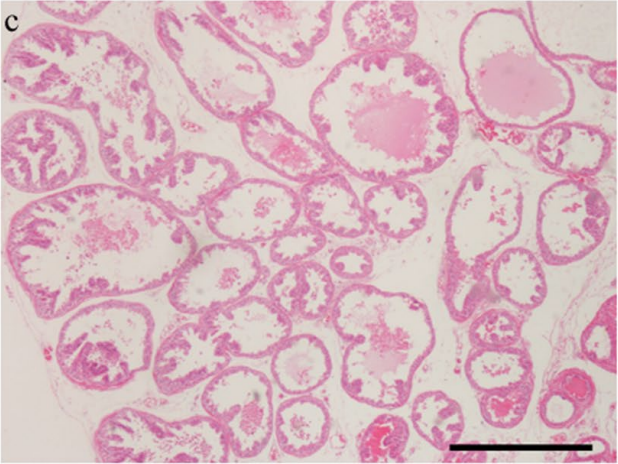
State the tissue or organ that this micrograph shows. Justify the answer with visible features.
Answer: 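Many rounded glandular acini of varying size packed closely together. Each acinus is lined by a single epithelial layer thrown into folds projecting into the lumen. Lumens contain pale pink secretion. Thin loose stroma separates the acini. That points to this answer: prostate.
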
